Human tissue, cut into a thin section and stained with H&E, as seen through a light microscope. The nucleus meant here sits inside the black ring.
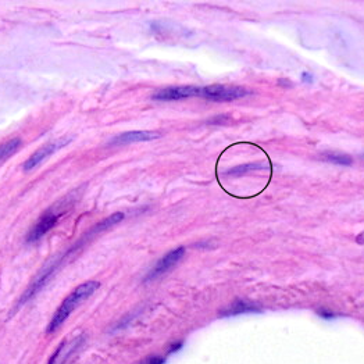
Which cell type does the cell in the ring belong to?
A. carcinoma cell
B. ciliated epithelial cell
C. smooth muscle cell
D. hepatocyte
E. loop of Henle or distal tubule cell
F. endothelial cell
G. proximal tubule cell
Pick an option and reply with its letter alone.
C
